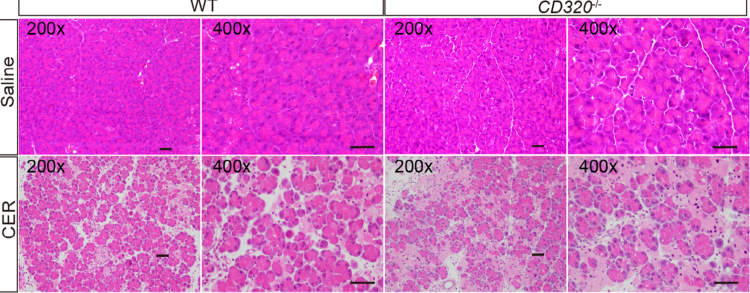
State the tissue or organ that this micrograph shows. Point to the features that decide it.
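In the upper row, tissue is made of densely packed pink glandular units. In the lower row, the glandular units are separated by pale spaces.
Conclusion: pancreas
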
